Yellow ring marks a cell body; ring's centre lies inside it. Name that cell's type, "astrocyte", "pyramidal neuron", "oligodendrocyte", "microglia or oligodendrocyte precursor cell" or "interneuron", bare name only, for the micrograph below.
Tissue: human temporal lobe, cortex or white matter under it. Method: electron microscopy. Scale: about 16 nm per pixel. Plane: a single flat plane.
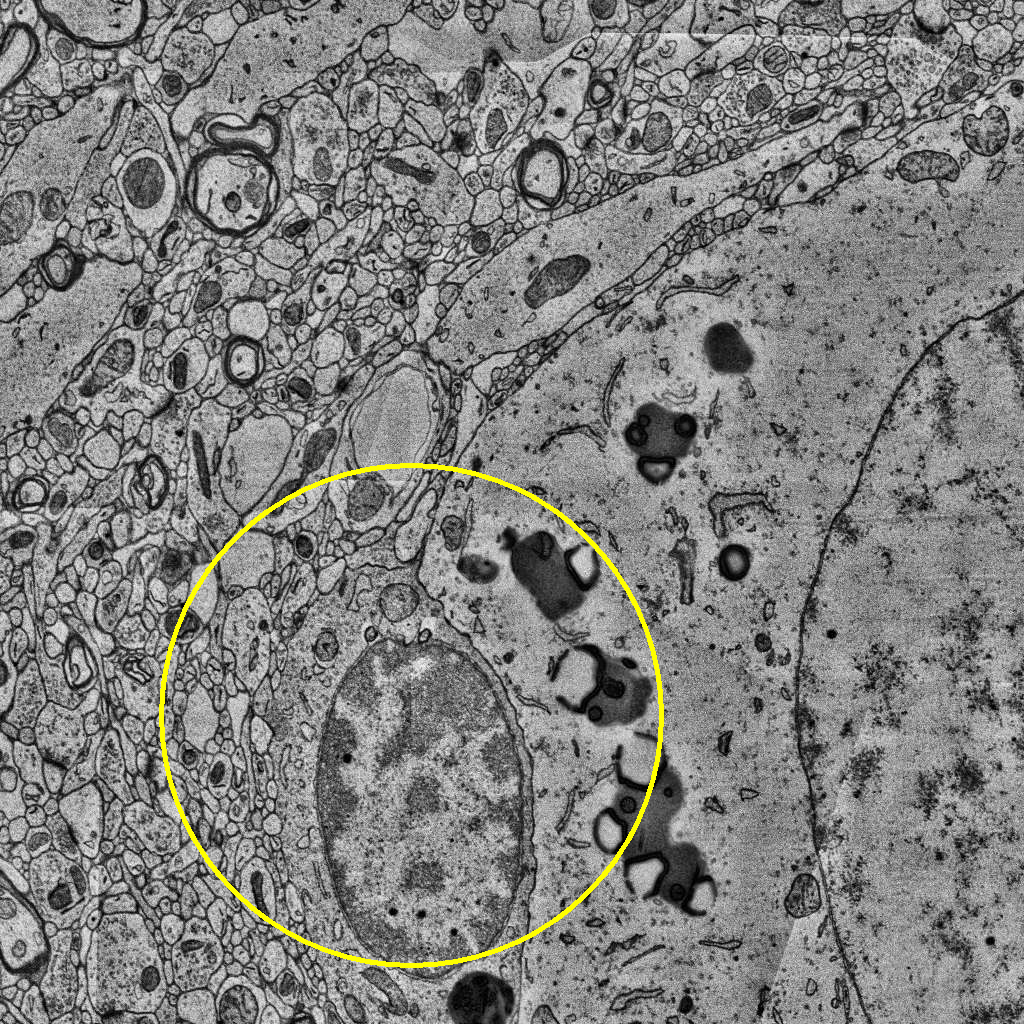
oligodendrocyte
